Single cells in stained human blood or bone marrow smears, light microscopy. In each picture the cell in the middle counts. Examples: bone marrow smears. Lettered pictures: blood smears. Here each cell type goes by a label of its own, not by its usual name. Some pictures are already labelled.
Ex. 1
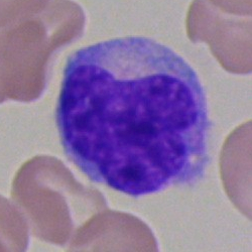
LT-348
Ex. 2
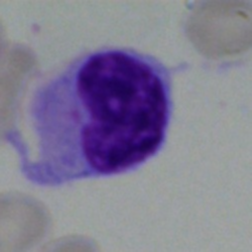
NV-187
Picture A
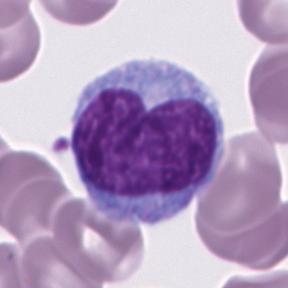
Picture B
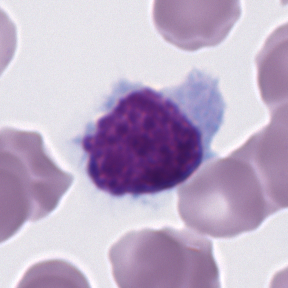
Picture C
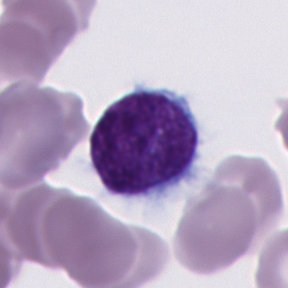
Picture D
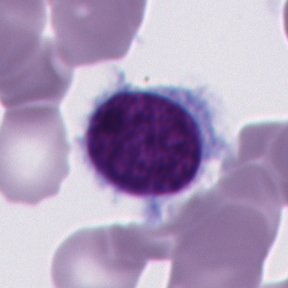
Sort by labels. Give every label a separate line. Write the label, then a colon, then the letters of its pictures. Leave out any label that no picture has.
LT-348: A
NV-187: B, C, D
